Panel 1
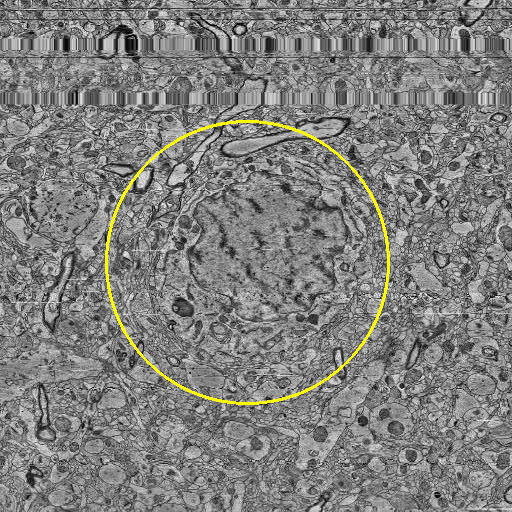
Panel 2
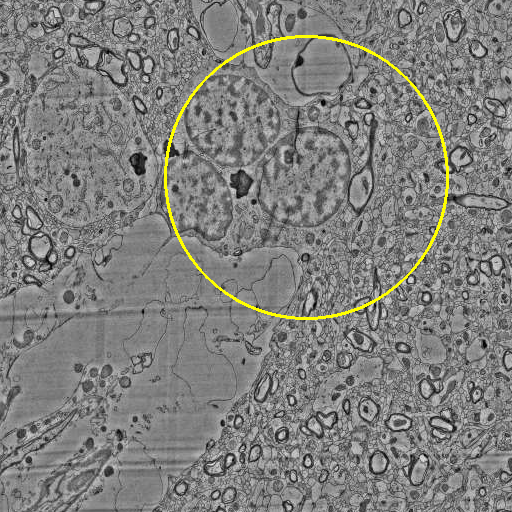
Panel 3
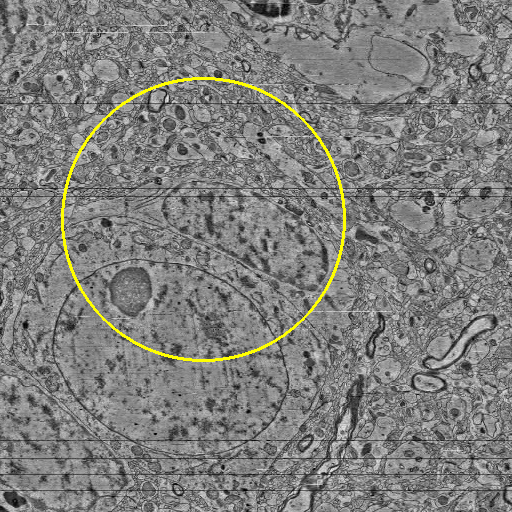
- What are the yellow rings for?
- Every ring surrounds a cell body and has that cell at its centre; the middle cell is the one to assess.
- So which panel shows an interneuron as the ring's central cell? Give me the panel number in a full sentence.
The panel whose ring is centred on the cell in question is panel 1.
